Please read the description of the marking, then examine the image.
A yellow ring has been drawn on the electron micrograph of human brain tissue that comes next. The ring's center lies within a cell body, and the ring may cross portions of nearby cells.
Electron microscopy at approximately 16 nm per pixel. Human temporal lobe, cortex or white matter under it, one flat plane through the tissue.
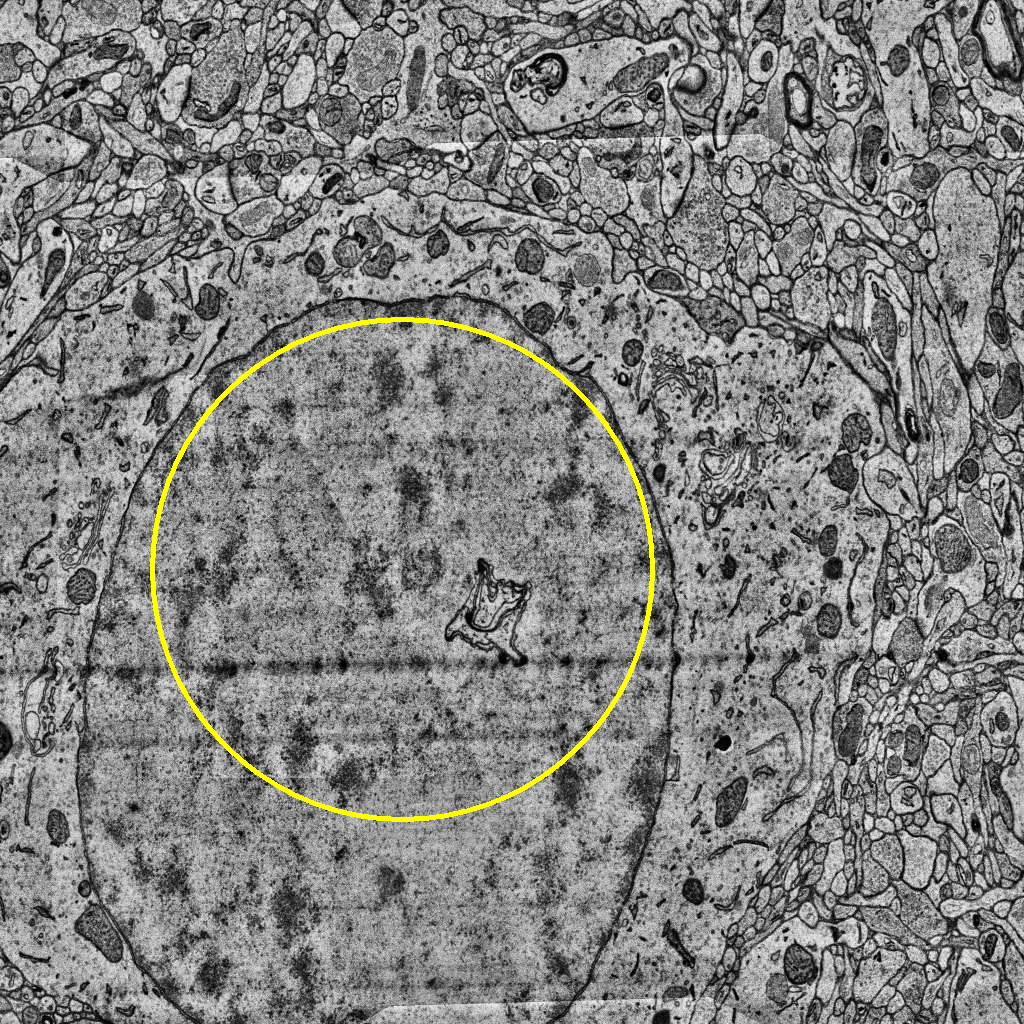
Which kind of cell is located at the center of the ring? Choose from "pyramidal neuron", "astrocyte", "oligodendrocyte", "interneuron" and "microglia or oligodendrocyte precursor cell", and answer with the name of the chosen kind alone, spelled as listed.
pyramidal neuron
